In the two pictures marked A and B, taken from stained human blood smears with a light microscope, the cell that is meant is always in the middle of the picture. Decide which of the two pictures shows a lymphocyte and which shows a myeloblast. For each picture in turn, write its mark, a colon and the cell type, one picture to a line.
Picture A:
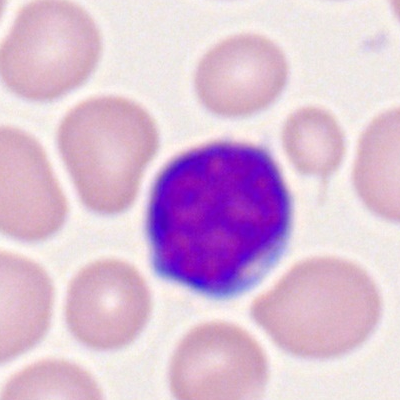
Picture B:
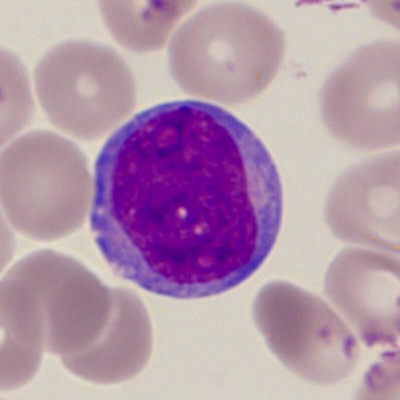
A: lymphocyte
B: myeloblast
